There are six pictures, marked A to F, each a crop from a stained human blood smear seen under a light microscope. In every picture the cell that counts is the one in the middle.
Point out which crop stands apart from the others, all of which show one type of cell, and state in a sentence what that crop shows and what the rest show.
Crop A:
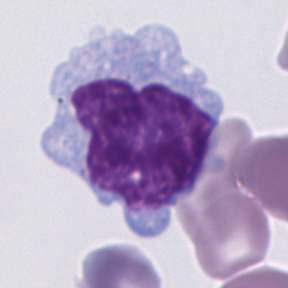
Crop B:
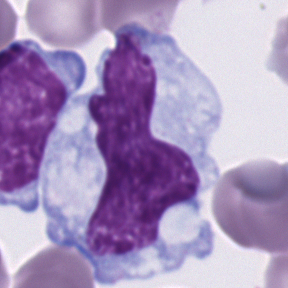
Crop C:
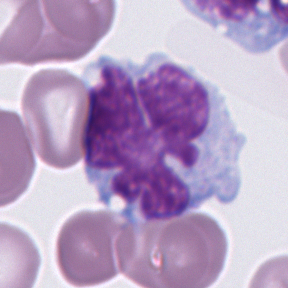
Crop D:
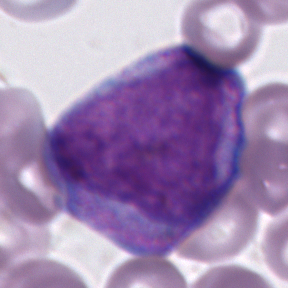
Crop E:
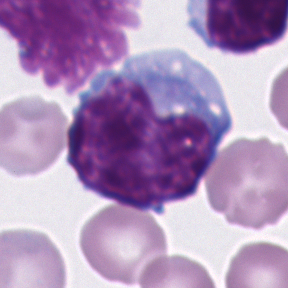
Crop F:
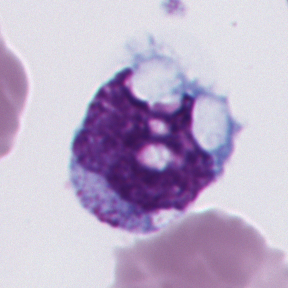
All the crops contain monocytes save crop D, where there is a promyelocyte.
